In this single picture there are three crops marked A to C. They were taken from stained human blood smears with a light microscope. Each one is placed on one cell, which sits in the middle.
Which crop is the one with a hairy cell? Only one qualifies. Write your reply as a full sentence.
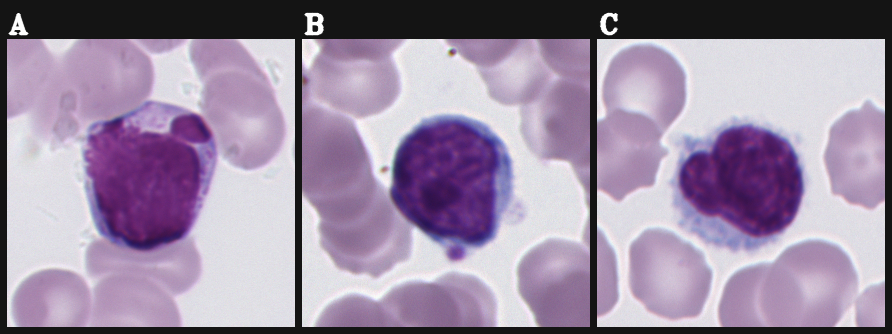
The requested cell, a hairy cell, is the one in crop C.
